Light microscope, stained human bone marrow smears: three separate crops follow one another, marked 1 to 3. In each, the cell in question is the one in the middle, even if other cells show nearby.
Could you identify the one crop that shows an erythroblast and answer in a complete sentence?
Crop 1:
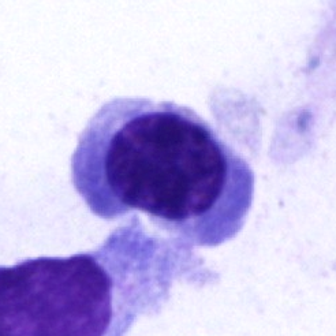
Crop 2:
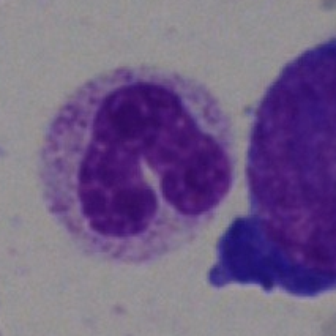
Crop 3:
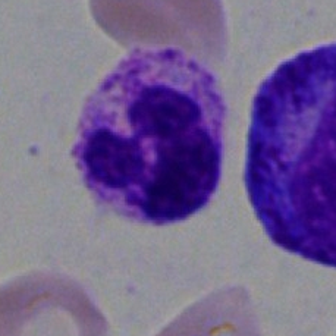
The cell identified as an erythroblast is the one in crop 1.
